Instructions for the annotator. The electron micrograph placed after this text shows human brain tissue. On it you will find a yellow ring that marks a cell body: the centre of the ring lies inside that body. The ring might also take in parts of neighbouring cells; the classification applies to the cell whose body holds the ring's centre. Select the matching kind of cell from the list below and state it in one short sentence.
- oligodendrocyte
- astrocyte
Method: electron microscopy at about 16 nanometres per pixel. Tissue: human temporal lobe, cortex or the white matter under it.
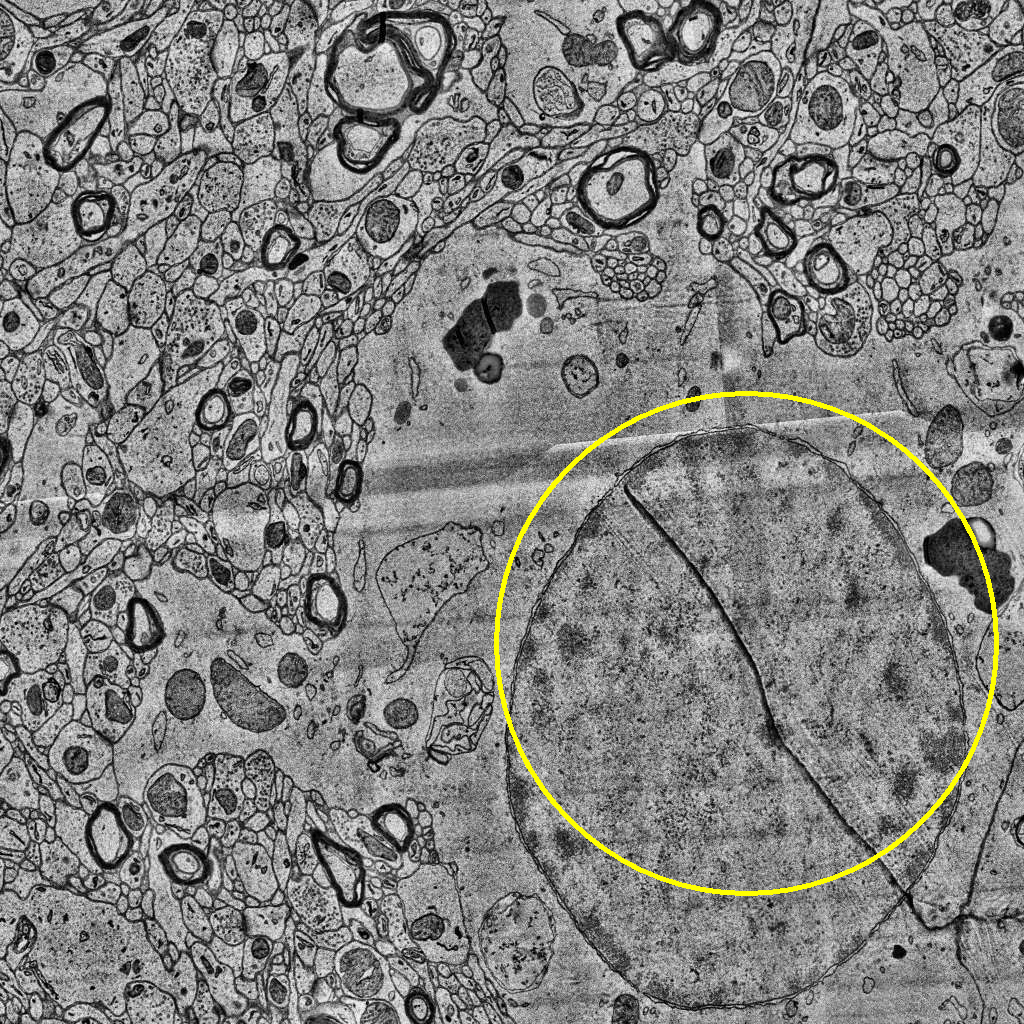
The centre of the ring lies in the cell body of an astrocyte.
